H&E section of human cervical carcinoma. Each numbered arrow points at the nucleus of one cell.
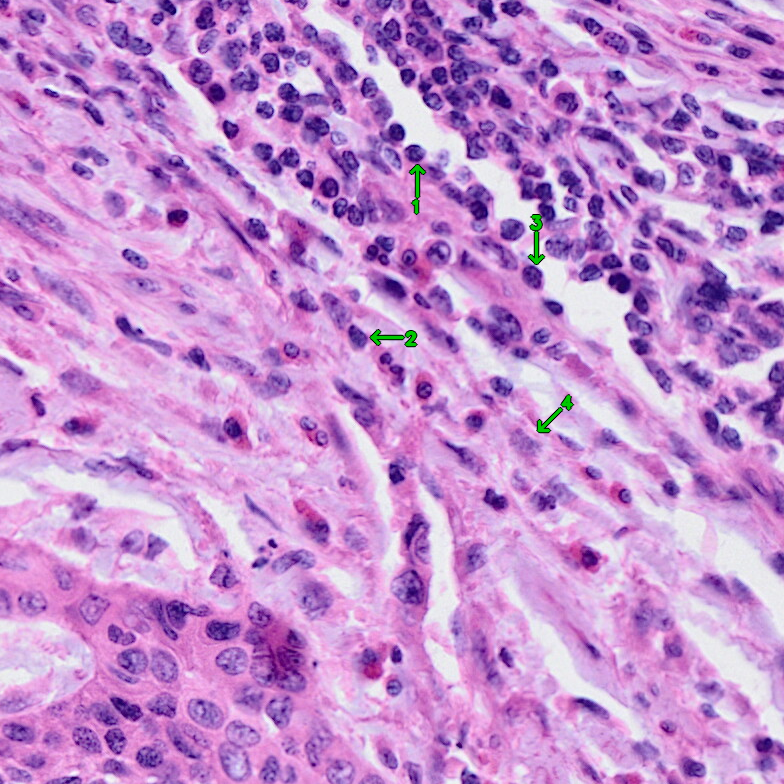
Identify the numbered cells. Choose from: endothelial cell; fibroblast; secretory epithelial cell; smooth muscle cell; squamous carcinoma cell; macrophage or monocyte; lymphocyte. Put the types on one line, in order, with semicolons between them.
lymphocyte; lymphocyte; lymphocyte; fibroblast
